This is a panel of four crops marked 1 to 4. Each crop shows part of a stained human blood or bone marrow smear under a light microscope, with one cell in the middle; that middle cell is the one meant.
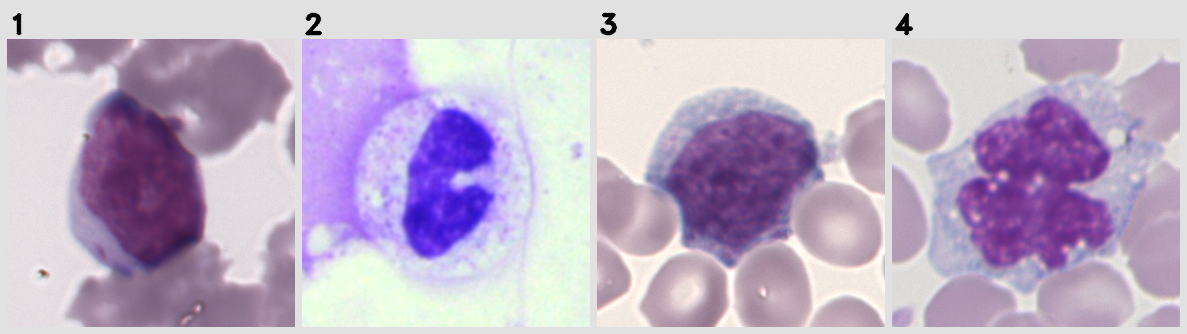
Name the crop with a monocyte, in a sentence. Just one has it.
So the crop with a monocyte at its center is crop 4.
